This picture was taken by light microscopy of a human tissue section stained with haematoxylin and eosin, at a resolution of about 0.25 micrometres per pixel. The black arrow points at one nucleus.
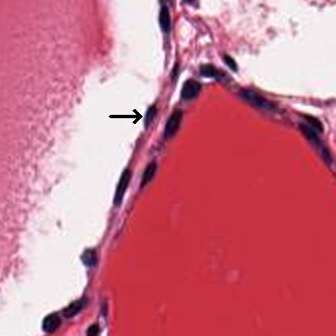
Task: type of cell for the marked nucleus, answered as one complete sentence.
The nucleus bearing the mark belongs to a thyroid follicular cell.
